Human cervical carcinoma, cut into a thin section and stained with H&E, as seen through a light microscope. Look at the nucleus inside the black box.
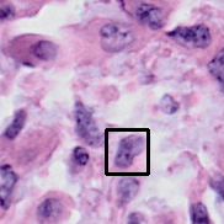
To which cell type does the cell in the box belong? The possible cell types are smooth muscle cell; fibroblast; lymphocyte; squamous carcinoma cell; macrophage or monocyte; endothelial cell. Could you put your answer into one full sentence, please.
At the level of cell identity, the cell in the box is a macrophage or monocyte.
